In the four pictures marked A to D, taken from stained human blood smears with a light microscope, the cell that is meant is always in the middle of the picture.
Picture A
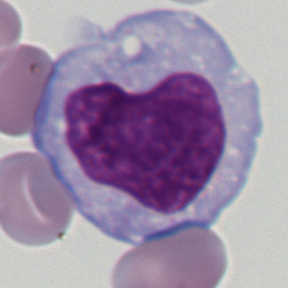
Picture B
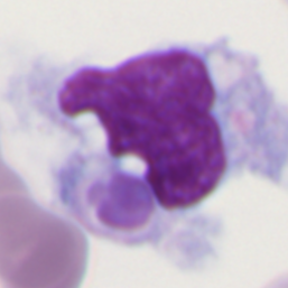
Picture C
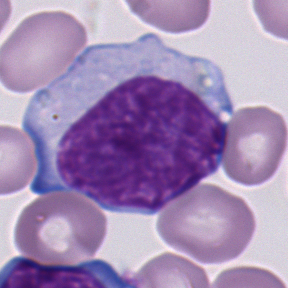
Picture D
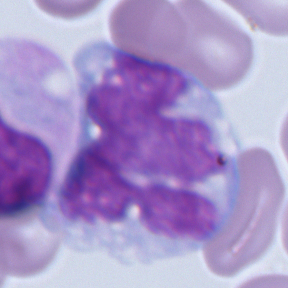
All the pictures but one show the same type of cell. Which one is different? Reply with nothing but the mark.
C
